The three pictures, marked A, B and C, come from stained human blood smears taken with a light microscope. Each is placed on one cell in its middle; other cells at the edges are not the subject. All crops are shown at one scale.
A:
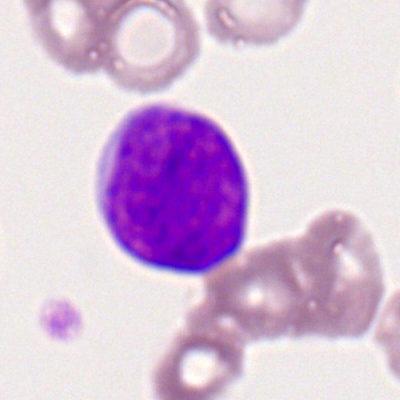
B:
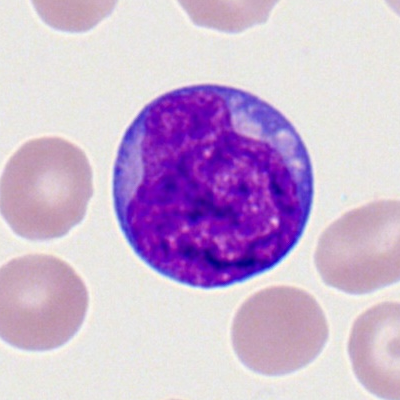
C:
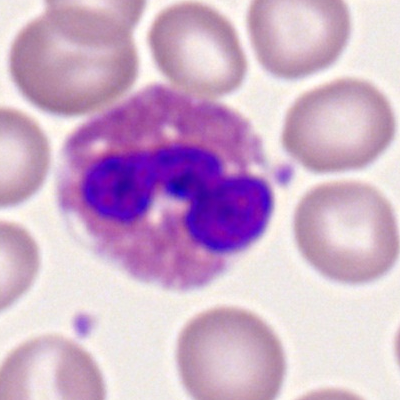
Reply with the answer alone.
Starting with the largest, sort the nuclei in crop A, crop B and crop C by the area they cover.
B, A, C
